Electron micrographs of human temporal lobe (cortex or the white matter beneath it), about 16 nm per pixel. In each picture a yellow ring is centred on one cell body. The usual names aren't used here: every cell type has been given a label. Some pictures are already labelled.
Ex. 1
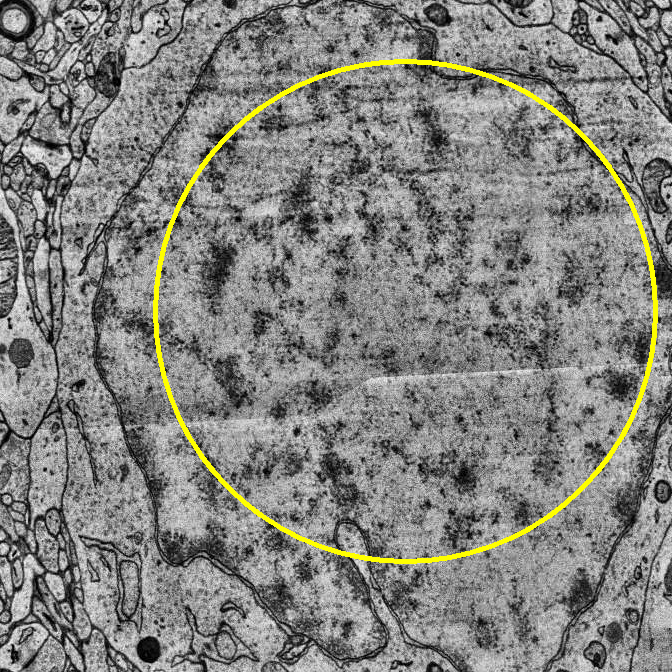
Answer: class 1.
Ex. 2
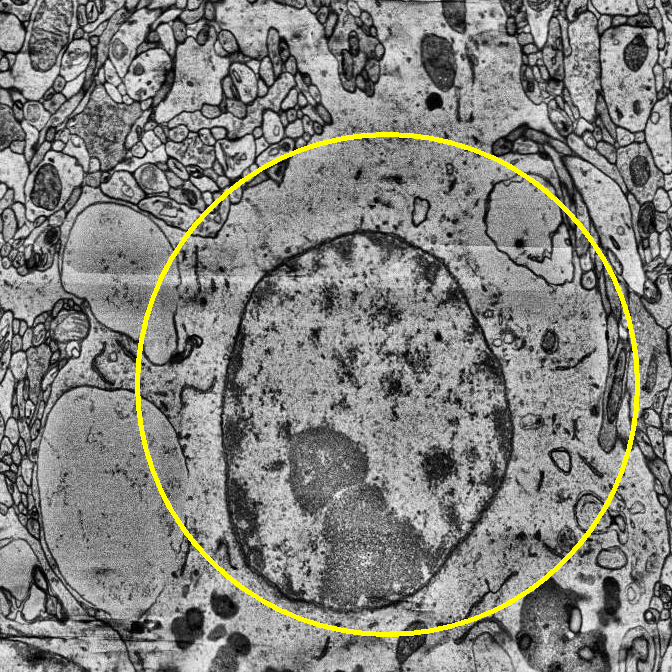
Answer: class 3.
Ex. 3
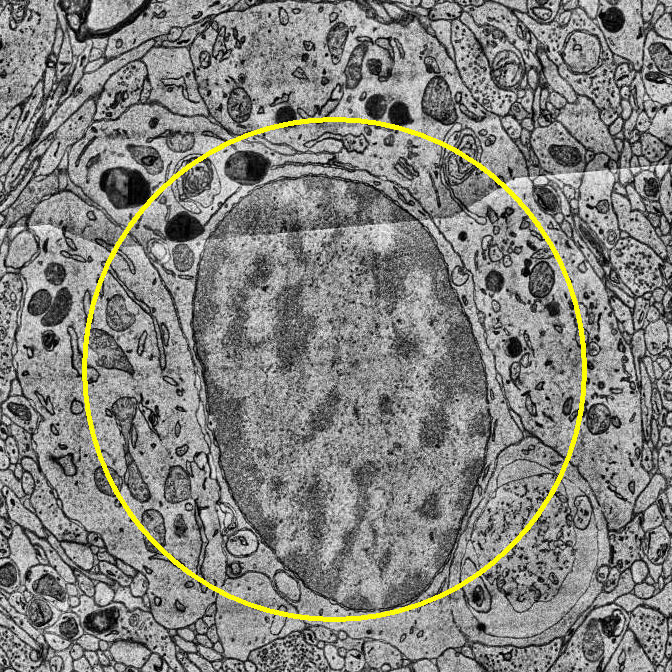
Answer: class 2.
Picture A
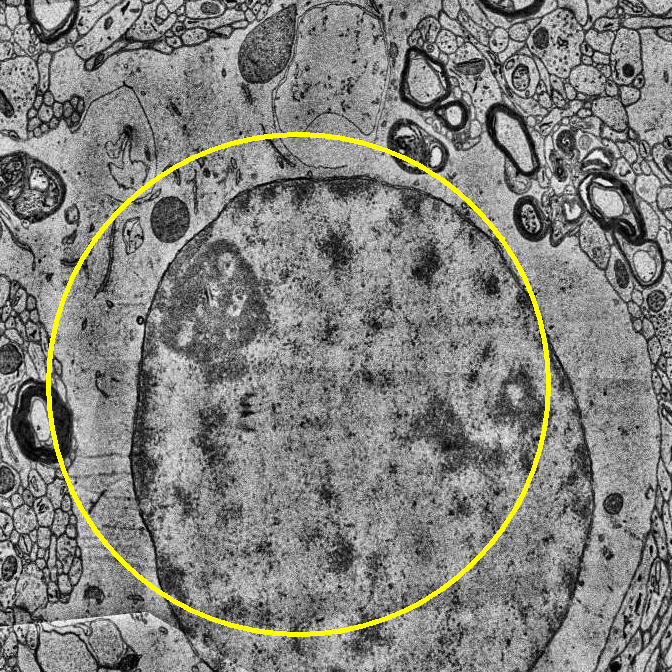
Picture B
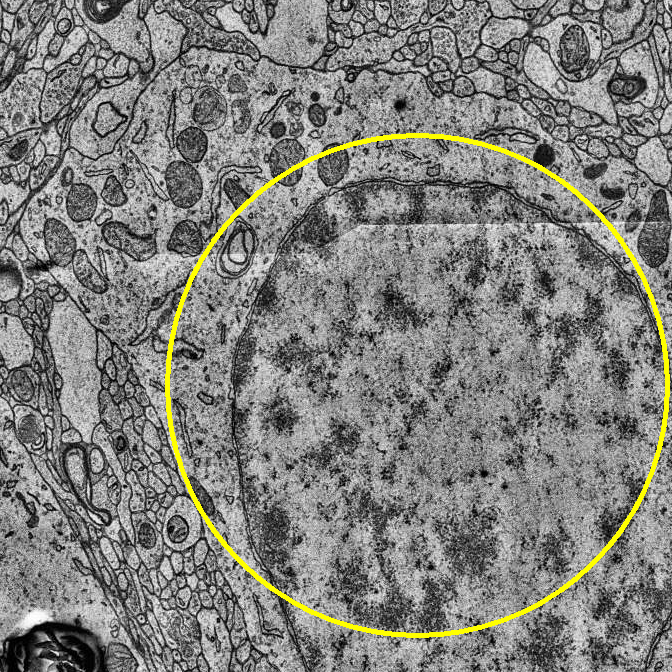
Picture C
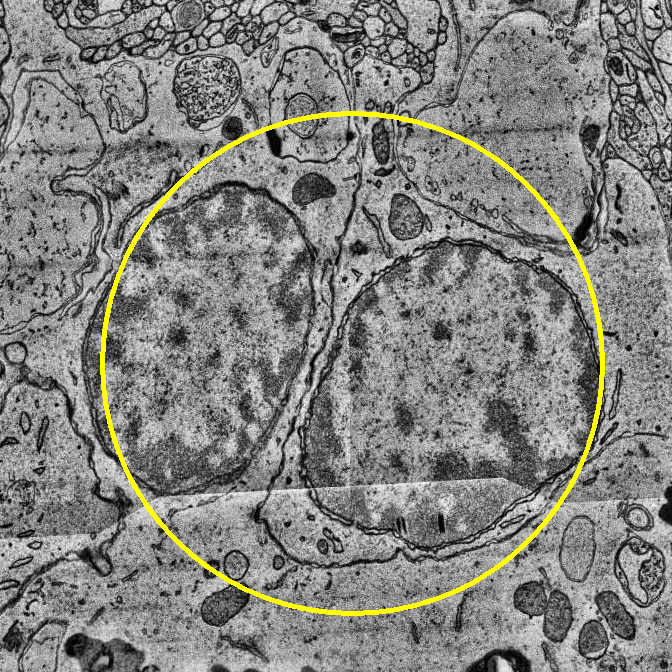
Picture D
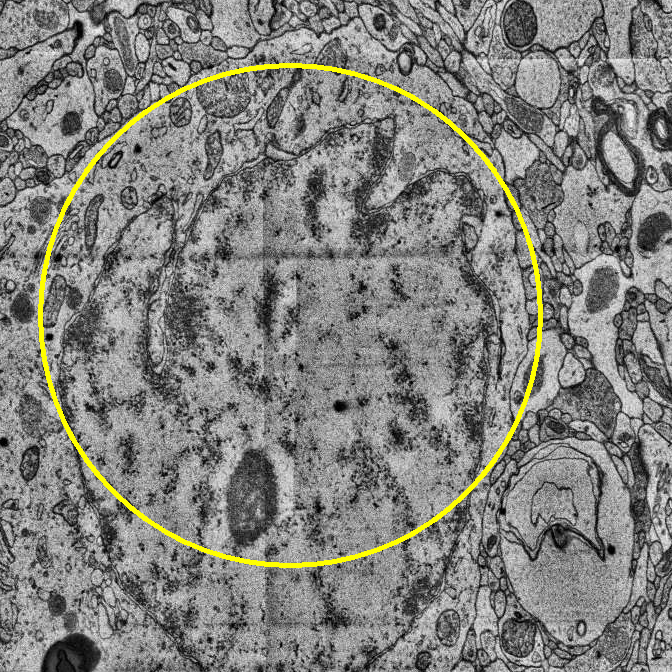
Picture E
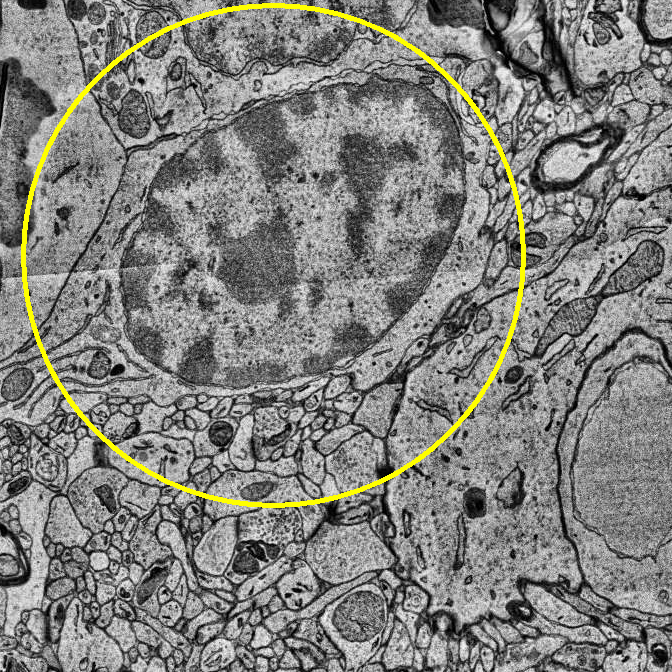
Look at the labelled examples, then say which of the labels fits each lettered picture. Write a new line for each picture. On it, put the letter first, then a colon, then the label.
A: class 3.
B: class 1.
C: class 2.
D: class 1.
E: class 2.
